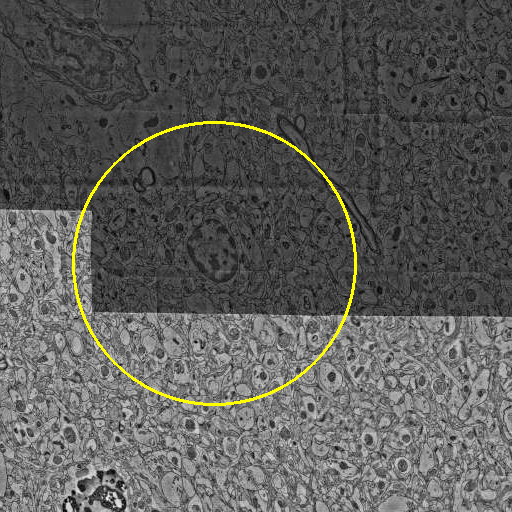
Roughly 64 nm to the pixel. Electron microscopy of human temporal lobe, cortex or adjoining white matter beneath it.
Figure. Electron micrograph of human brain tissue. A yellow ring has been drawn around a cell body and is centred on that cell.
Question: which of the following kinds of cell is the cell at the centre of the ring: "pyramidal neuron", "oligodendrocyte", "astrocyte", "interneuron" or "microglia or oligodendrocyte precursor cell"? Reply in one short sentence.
The cell at the centre of the ring is a microglial cell or oligodendrocyte precursor cell.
